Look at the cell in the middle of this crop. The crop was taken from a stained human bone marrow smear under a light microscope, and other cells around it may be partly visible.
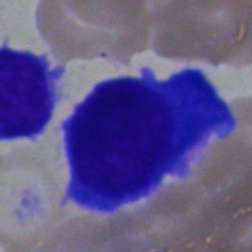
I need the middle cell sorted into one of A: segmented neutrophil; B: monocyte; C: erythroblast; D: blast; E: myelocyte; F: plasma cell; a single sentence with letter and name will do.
The central cell, a plasma cell, is correctly identified by option F.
